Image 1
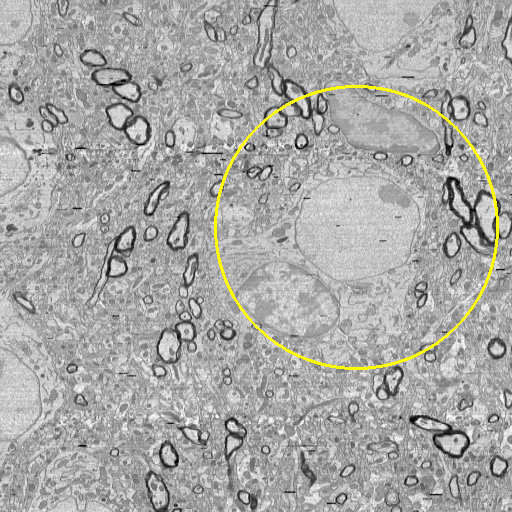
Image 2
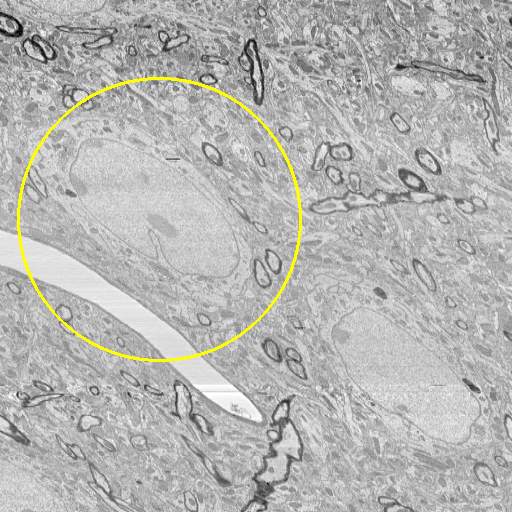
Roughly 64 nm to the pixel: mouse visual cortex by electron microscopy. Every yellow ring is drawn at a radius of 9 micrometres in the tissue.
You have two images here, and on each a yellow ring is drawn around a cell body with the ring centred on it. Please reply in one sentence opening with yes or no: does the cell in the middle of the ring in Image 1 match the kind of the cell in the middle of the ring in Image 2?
Yes, the two images show cells of one kind at the centres of their rings.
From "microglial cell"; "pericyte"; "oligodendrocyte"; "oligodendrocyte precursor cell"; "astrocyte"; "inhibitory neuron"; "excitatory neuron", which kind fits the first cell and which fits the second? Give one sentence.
In each picture the ringed cell is an excitatory neuron.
